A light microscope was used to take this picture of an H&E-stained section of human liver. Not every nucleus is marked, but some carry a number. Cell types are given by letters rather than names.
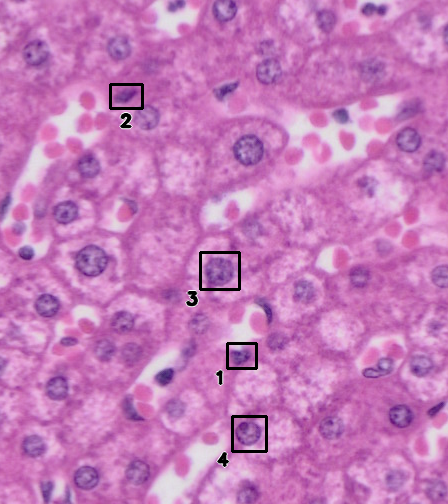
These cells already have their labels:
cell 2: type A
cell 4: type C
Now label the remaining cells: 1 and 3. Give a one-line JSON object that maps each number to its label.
{"1": "type A", "3": "type C"}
